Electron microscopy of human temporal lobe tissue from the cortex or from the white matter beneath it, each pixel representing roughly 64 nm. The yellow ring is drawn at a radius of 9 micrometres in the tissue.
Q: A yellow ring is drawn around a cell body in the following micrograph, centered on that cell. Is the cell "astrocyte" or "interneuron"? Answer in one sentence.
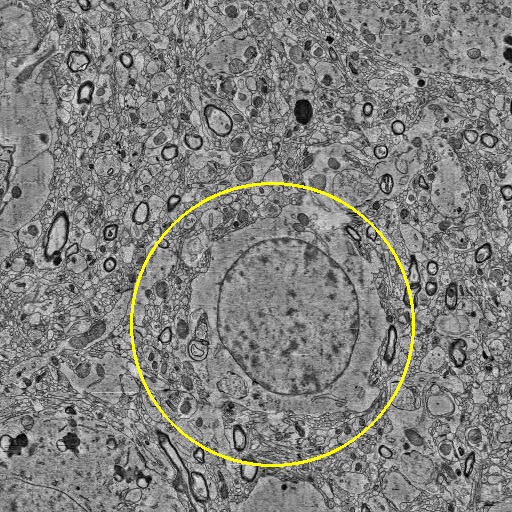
The cell in the center of the ring is an astrocyte.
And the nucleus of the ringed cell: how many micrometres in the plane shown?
About 10 micrometres across, as seen in this plane.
